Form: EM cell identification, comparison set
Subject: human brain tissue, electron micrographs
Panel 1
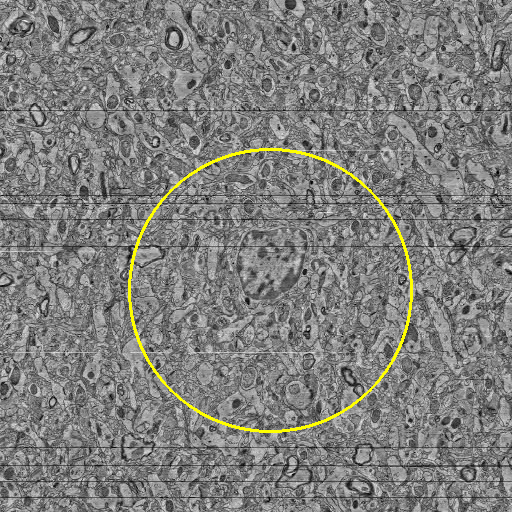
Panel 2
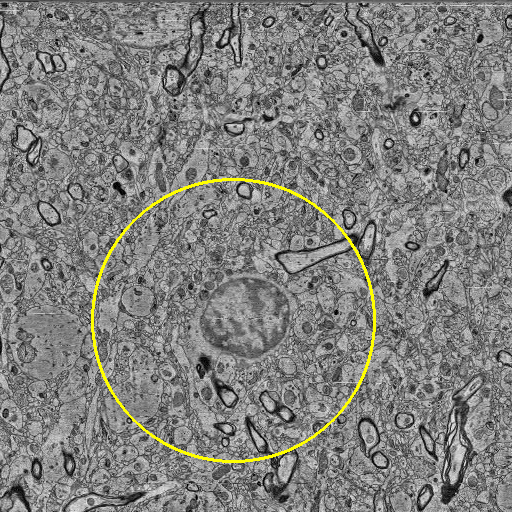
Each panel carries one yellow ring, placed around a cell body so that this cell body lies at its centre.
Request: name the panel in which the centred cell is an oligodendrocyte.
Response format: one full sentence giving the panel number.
Panel 2 has it at the centre of its ring.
